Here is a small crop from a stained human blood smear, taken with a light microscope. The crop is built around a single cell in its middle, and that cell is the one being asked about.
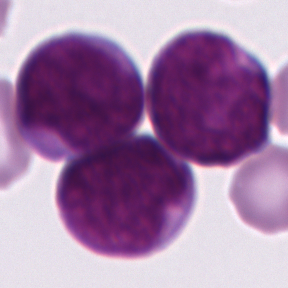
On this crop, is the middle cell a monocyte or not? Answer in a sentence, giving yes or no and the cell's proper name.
No, the central cell does not count as a monocyte; it is a blast.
